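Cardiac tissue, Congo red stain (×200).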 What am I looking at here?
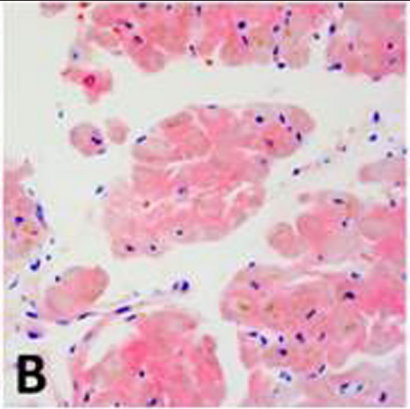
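Fine cracks run through the pink masses. Between the fragments lie clear spaces crossed by thin strands of loose tissue with elongated blue nuclei. Small fragments at the edges show the same pink tint.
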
